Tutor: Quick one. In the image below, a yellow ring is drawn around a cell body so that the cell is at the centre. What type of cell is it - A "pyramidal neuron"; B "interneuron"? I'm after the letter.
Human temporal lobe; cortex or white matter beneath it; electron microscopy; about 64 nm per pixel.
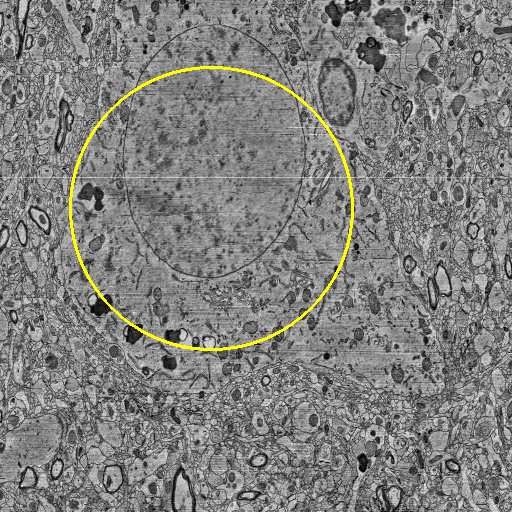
A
